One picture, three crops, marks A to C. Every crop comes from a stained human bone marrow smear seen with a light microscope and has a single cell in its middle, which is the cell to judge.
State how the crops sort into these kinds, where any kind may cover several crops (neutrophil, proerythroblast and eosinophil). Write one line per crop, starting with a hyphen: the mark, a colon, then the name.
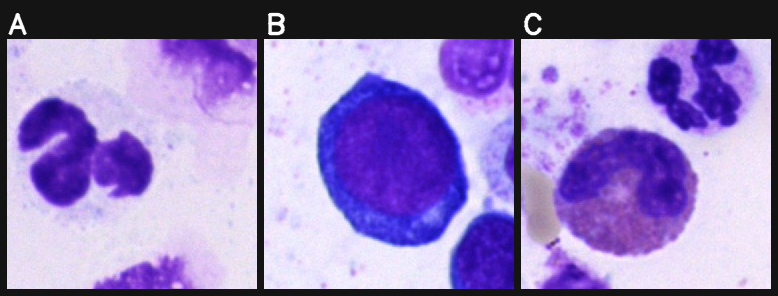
- A: neutrophil
- B: proerythroblast
- C: eosinophil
